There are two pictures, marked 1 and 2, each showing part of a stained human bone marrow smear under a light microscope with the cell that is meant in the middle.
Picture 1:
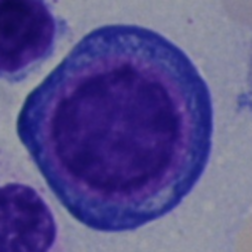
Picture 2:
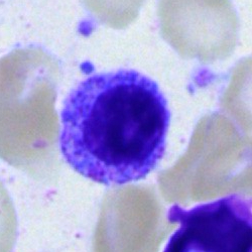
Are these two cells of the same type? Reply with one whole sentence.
No. Picture 1 shows a proerythroblast, but picture 2 shows a myelocyte.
